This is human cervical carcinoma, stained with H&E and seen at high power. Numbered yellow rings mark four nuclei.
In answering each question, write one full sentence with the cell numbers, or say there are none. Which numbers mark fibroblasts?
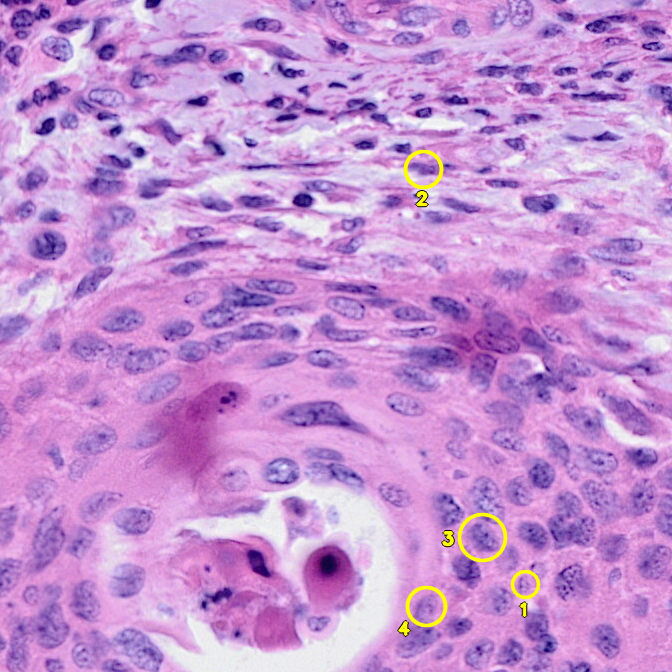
Cell 2 is a fibroblast, while every other numbered cell is not.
